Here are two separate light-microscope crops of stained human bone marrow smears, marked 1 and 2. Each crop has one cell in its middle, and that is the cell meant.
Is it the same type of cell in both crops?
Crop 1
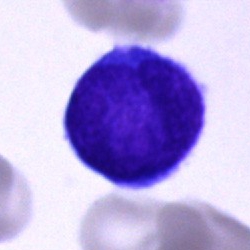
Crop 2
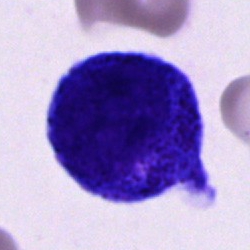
no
